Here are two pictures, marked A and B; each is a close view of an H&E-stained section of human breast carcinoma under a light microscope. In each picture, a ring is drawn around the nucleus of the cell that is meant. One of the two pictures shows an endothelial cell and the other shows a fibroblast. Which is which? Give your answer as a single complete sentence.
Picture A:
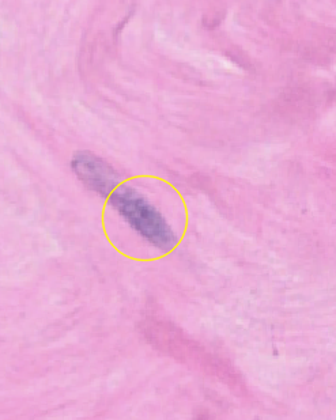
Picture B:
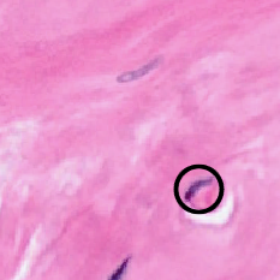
The cell in picture A is a fibroblast, and the one in picture B is an endothelial cell.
